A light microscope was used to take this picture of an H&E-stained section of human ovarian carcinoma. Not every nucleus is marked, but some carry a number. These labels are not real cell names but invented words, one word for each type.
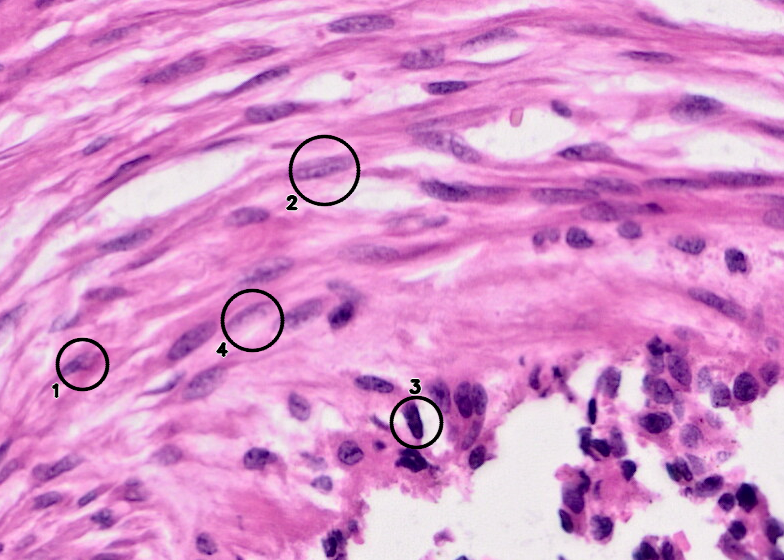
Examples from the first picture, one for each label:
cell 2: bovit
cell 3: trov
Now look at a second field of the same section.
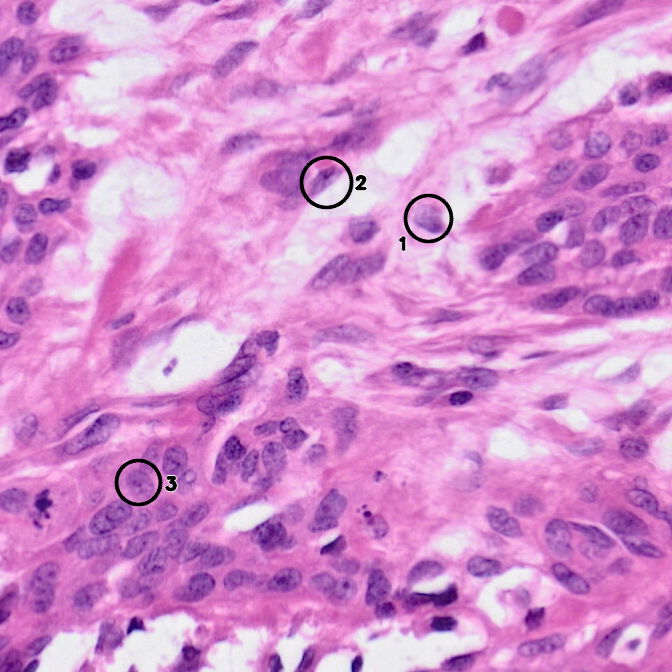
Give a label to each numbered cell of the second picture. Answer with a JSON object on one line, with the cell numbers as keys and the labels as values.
{"1": "bovit", "2": "bovit", "3": "trov"}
